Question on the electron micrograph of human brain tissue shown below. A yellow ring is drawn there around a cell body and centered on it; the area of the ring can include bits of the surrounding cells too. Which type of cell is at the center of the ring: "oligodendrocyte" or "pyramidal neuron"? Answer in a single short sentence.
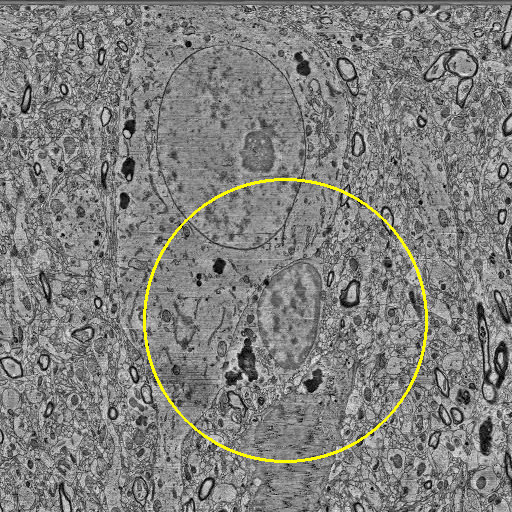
The ring is centered on an oligodendrocyte.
